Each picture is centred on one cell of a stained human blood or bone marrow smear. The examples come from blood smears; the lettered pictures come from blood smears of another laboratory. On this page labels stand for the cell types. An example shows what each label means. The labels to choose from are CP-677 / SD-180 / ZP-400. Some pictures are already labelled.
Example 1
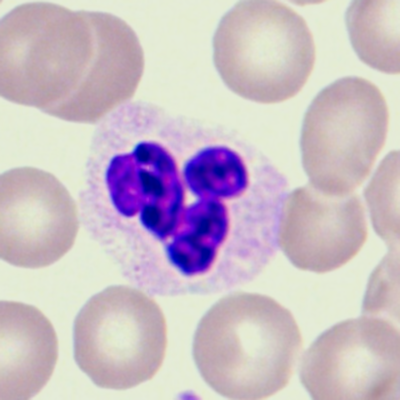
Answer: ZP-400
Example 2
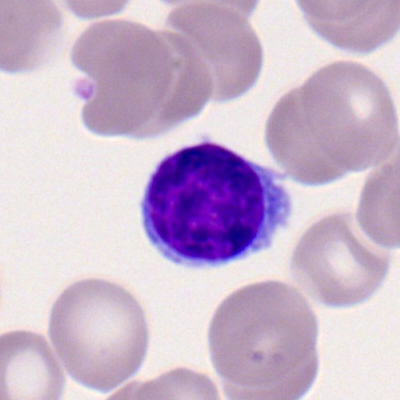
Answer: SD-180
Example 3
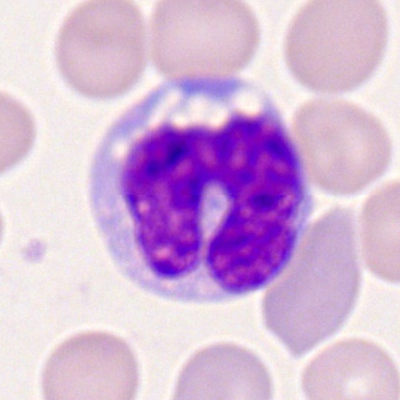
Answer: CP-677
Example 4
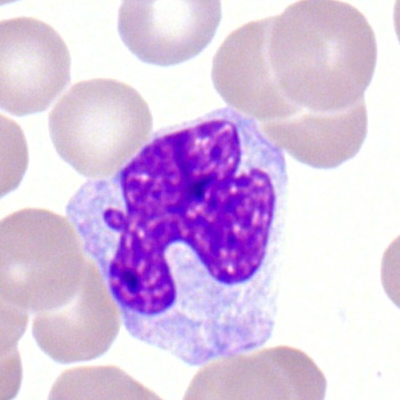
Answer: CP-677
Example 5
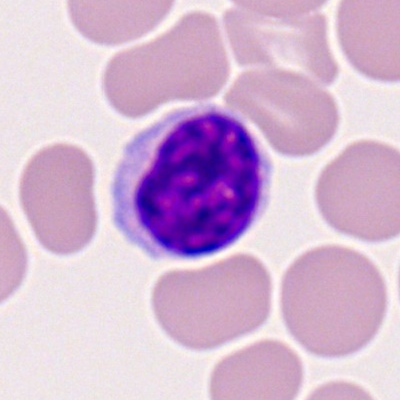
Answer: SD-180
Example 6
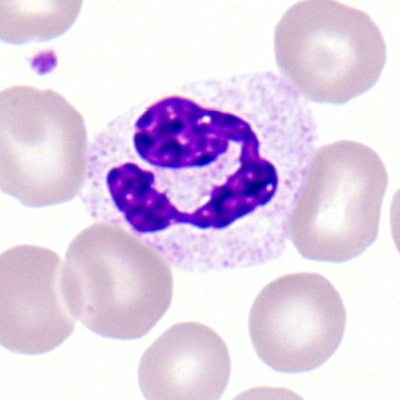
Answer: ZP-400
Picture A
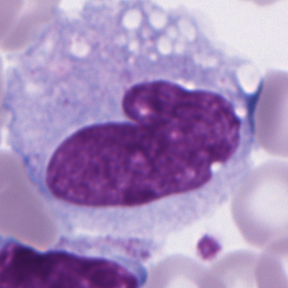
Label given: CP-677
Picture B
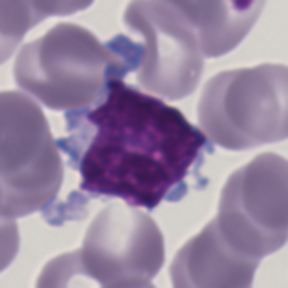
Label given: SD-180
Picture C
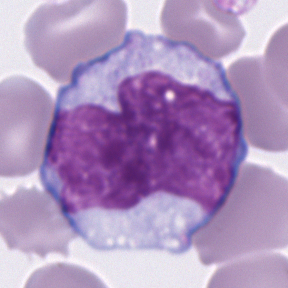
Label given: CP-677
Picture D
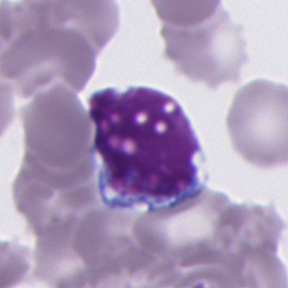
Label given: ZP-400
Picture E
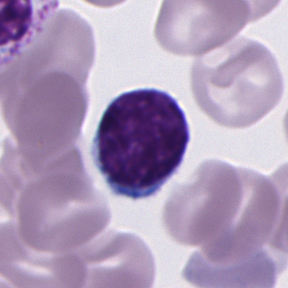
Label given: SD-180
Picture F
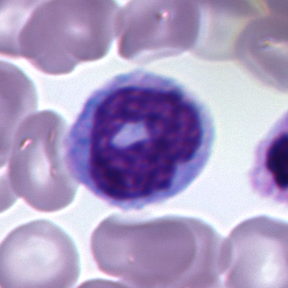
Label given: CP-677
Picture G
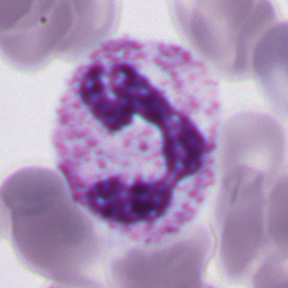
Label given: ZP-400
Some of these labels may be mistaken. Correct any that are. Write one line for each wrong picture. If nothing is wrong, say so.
Wrong: D (ZP-400); correct: SD-180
